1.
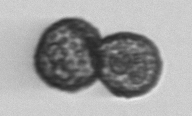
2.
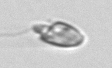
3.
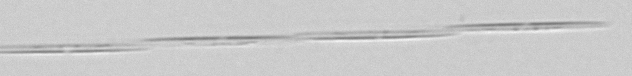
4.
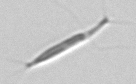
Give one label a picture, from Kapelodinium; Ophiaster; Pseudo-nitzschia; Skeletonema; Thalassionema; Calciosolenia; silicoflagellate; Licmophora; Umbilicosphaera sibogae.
(1) Umbilicosphaera sibogae
(2) Kapelodinium
(3) Pseudo-nitzschia
(4) Calciosolenia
